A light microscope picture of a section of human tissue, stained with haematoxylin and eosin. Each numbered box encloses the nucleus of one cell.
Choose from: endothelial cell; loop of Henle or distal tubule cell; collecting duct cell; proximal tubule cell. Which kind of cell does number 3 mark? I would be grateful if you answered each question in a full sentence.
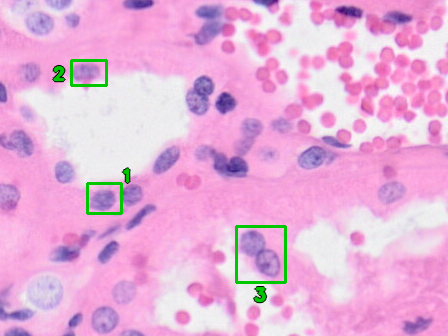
Cell 3 is classified as a proximal tubule cell.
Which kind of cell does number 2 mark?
The cell indicated by marker 2 is a loop of Henle or distal tubule cell in this section.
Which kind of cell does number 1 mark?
The cell identified by the number 1 is a loop of Henle or distal tubule cell.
